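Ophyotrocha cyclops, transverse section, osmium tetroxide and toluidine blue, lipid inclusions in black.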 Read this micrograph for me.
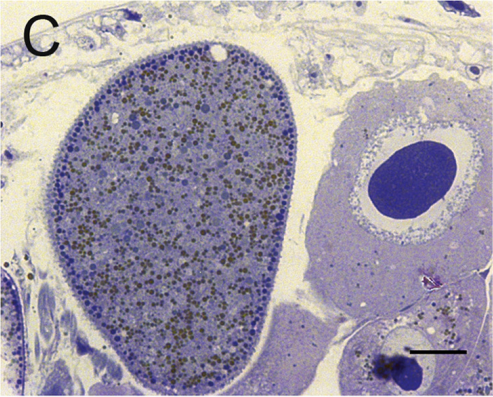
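Here are oocytes lying in the body cavity of a small worm. On the right a large cell with pale blue, finely granular cytoplasm holds a big, deep blue oval nucleus set in a clear halo. On the left a larger oval body is packed with small dark brown to black droplets among blue granules. A smaller cell with a dark blue nucleus sits at the lower right.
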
